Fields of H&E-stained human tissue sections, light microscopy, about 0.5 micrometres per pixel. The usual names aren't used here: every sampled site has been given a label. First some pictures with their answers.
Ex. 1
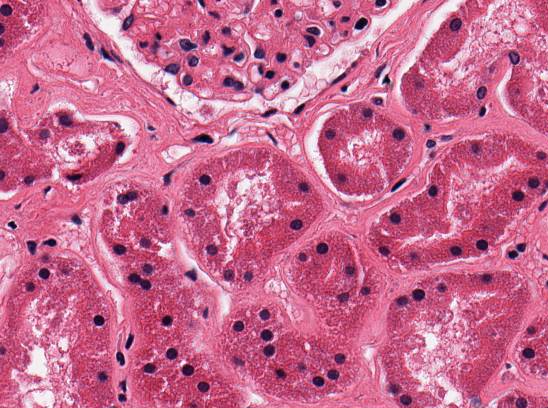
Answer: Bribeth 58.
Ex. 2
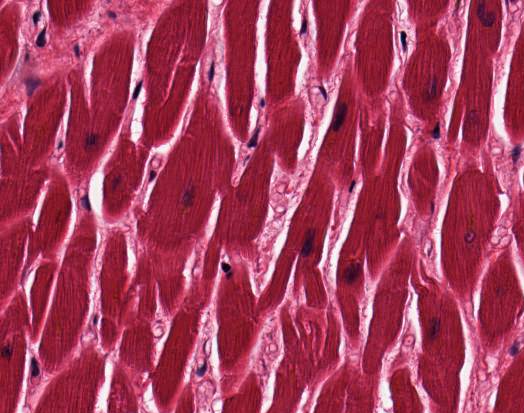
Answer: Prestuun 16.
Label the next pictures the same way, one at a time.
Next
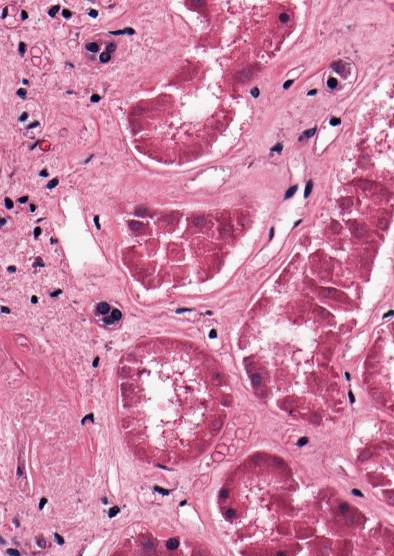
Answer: Bribeth 58.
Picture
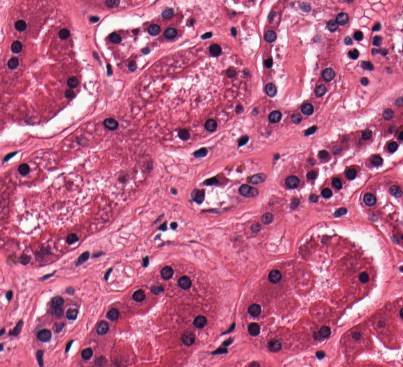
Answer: Bribeth 58.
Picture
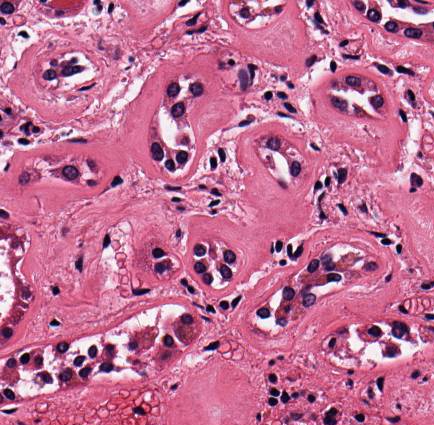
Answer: Bribeth 58.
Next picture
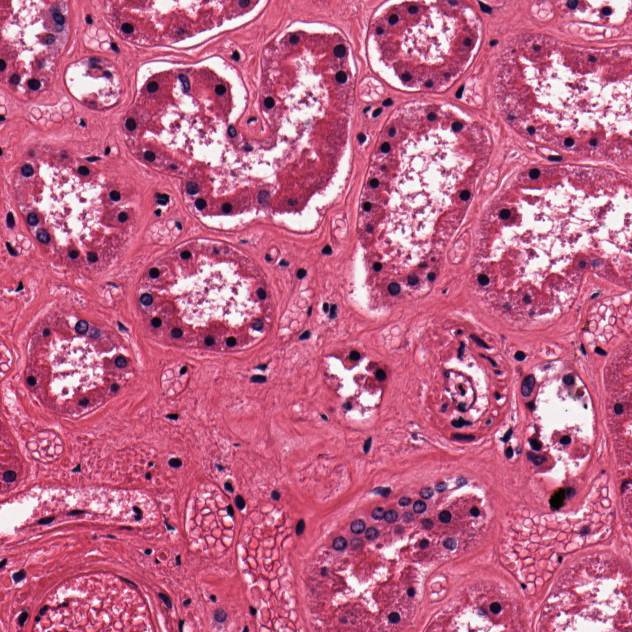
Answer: Bribeth 58.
